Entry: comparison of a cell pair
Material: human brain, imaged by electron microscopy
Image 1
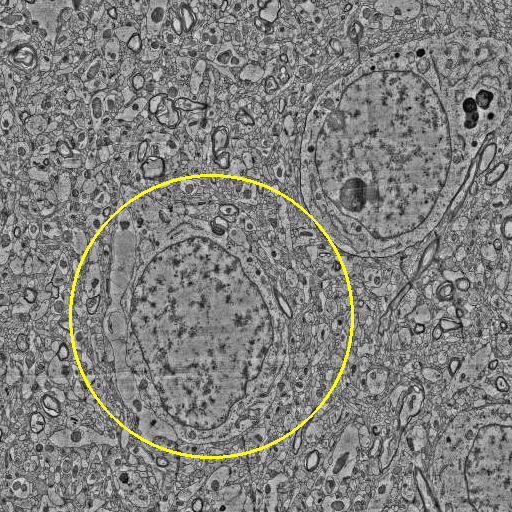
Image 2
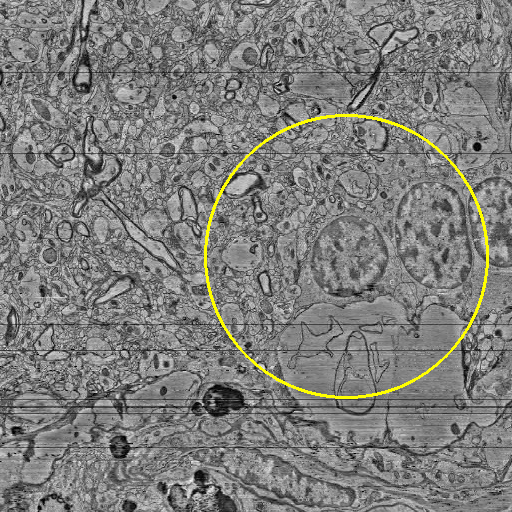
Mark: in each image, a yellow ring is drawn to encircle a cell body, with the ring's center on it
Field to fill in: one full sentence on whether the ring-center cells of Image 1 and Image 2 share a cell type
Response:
No, Image 1 and Image 2 show ring-center cells of two separate types.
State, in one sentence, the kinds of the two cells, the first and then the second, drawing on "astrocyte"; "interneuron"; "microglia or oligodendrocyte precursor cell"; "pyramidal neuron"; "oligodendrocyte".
The ring in the second picture is centred on an oligodendrocyte, the ring in the first on a pyramidal neuron.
